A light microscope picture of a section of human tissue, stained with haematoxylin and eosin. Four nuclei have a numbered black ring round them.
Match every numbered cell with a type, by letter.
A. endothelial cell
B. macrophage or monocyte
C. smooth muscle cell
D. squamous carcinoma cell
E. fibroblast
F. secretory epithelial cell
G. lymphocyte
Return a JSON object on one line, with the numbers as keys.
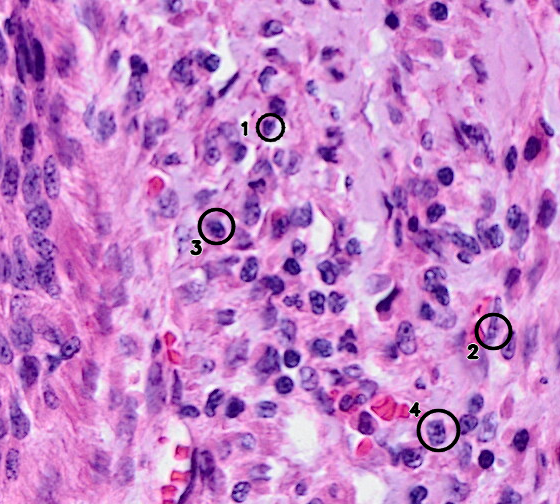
{"1": "G", "2": "A", "3": "G", "4": "G"}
